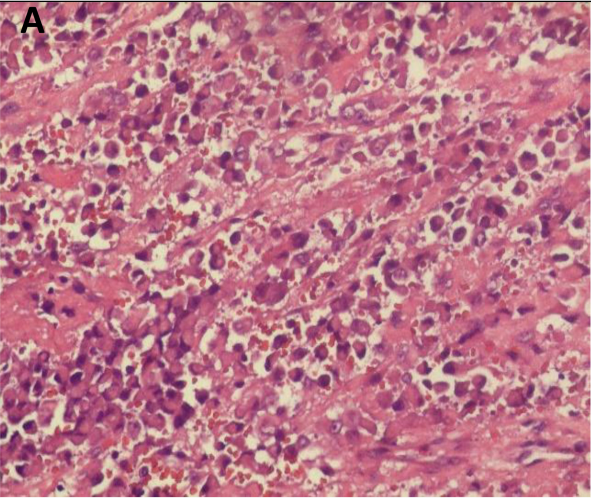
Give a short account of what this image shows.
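Loosely arranged sheets and strands of round to oval tumor cells with abundant, strongly pink cytoplasm and large, dark nuclei, many pushed to one side of the cell, some with visible nucleoli. In several areas the cells fall apart from one another, with red blood cells scattered between them.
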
